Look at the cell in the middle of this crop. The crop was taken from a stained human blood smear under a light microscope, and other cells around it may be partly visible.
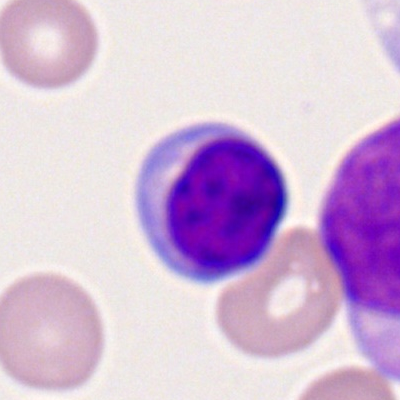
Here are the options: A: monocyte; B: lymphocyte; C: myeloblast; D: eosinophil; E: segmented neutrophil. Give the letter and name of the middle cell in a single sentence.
According to option B, which is correct, the cell in the middle is a lymphocyte.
